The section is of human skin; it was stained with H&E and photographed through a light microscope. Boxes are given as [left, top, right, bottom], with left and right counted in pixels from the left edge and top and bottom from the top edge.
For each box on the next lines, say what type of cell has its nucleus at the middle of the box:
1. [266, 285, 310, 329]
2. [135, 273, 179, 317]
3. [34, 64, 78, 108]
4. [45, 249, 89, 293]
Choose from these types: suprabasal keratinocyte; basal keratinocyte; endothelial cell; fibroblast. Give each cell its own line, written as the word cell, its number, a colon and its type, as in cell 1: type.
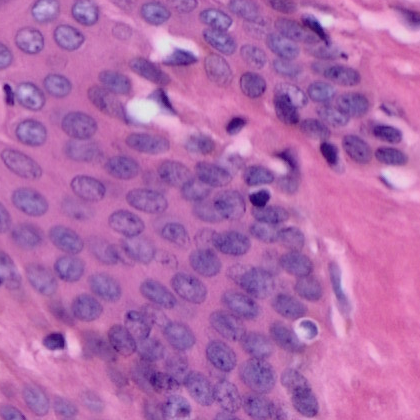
cell 1: basal keratinocyte
cell 2: suprabasal keratinocyte
cell 3: suprabasal keratinocyte
cell 4: suprabasal keratinocyte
